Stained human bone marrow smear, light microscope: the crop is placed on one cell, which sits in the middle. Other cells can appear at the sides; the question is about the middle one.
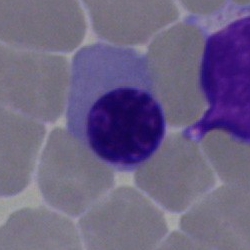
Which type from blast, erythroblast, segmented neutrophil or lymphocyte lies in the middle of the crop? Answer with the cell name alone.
erythroblast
